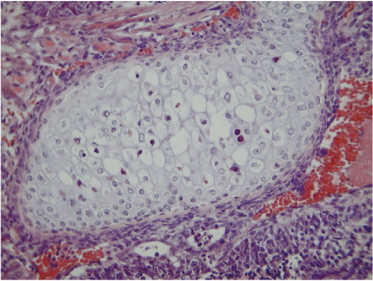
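A rounded island of pale blue-grey, glassy matrix occupies the centre. Within it, chondrocytes lie singly or in small groups in clear lacuna-like spaces, with small dark nuclei. Toward the edge of the island the cells become smaller and flatter, merging into a rim of spindle-shaped cells.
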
